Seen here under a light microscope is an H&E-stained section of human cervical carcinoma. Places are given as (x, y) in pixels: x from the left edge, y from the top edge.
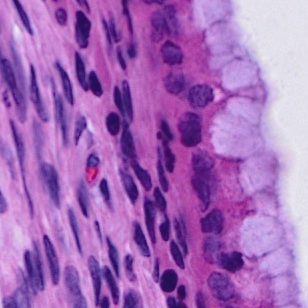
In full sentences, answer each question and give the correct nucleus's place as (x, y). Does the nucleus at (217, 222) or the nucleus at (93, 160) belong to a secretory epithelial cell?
Here the nucleus at (217, 222) is the one that belongs to a secretory epithelial cell.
